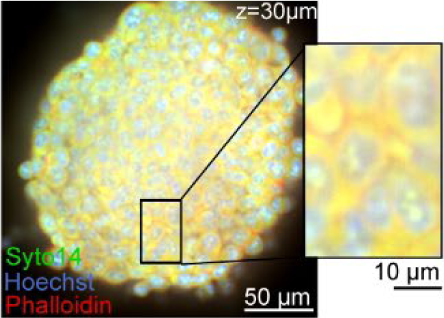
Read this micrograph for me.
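Overlapping colours render cytoplasm yellow-orange. Blue-tinged round to oval nuclei sit one per cell, more sharply seen towards the rim, more diffuse in the centre. Cells are small and uniform, arranged without layering or lumen.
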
